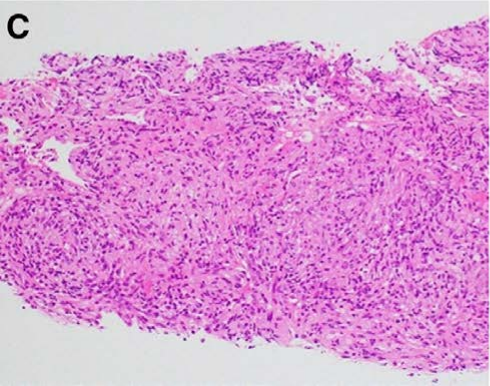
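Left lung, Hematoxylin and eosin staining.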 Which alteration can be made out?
Storiform fibrosis.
